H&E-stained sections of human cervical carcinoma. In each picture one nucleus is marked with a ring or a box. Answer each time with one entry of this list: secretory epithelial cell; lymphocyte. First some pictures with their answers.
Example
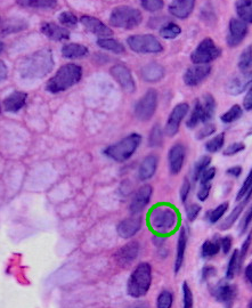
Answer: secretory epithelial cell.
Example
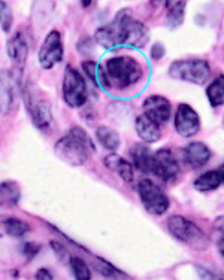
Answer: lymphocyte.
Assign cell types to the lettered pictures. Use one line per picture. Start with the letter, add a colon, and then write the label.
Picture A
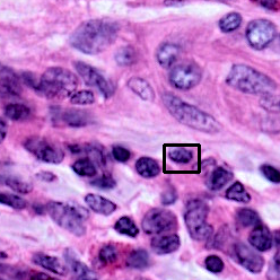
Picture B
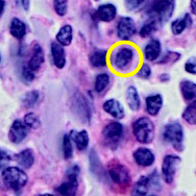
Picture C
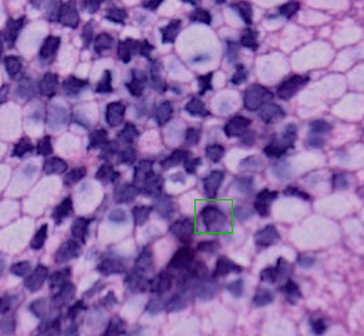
A: lymphocyte.
B: lymphocyte.
C: secretory epithelial cell.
